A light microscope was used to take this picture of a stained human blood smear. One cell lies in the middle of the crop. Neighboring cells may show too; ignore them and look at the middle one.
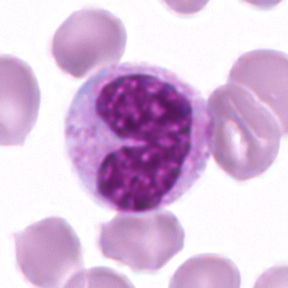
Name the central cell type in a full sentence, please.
The middle cell in this particular crop is a band neutrophil.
